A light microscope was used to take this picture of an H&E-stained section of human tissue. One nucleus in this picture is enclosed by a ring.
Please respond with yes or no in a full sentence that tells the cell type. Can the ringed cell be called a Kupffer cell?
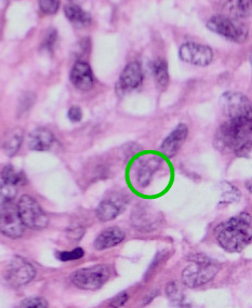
No, as classified here, the ringed cell is a melanoma cell and not a Kupffer cell.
